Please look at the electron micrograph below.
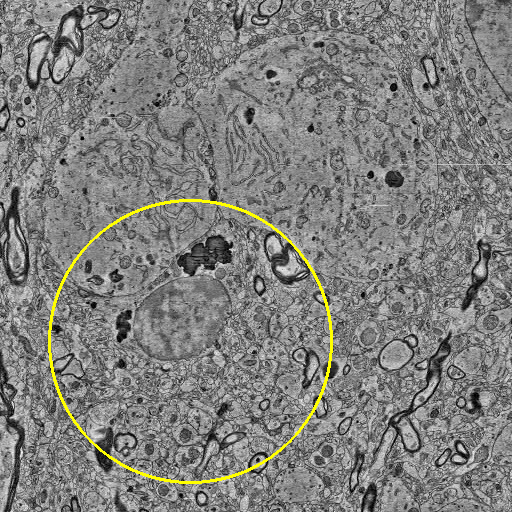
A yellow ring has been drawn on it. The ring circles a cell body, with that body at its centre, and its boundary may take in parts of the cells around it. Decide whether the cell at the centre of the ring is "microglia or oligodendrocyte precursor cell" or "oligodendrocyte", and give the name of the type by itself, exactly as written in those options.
oligodendrocyte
